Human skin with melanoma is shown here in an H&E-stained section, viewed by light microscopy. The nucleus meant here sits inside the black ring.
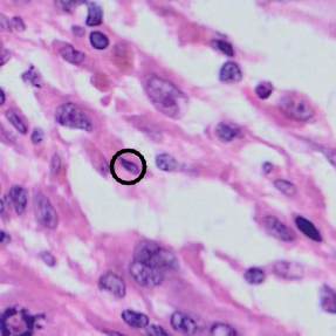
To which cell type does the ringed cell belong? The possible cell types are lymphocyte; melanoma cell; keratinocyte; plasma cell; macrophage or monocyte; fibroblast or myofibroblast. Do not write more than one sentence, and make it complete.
In this tissue sample, the ringed cell is a macrophage or monocyte.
